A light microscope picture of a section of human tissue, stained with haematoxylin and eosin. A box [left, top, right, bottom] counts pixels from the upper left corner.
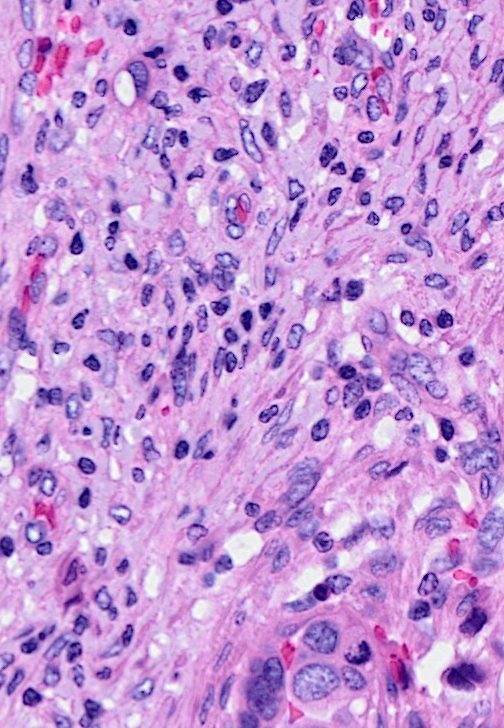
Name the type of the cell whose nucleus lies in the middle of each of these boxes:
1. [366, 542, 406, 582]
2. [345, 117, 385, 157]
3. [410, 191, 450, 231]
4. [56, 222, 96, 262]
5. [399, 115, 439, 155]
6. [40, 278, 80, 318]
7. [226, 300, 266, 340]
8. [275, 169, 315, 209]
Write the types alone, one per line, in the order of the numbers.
fibroblast
lymphocyte
fibroblast
lymphocyte
fibroblast
lymphocyte
lymphocyte
fibroblast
